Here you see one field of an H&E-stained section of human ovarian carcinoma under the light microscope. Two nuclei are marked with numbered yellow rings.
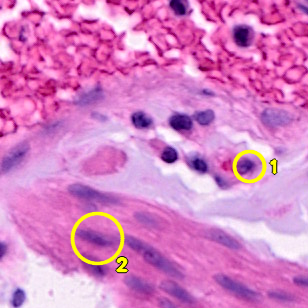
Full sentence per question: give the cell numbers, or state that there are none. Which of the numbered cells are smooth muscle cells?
The nucleus labelled 2 alone belongs to a smooth muscle cell; the other marked nuclei do not.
